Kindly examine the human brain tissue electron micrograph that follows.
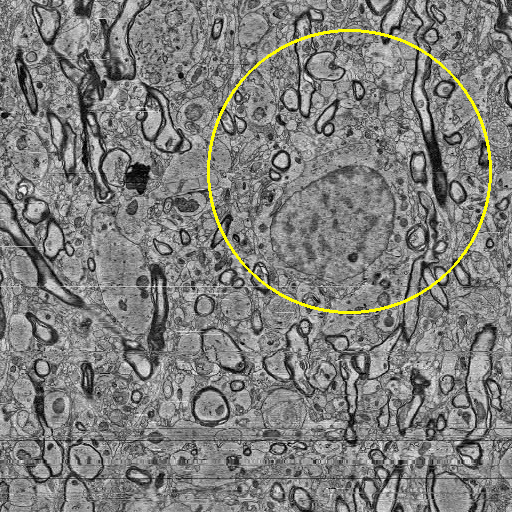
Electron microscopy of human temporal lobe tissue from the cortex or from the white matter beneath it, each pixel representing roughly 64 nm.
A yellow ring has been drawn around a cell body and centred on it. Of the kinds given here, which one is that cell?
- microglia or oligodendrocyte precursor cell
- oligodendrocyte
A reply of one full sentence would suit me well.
The micrograph's ringed cell, the one at the ring's centre, is an oligodendrocyte.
